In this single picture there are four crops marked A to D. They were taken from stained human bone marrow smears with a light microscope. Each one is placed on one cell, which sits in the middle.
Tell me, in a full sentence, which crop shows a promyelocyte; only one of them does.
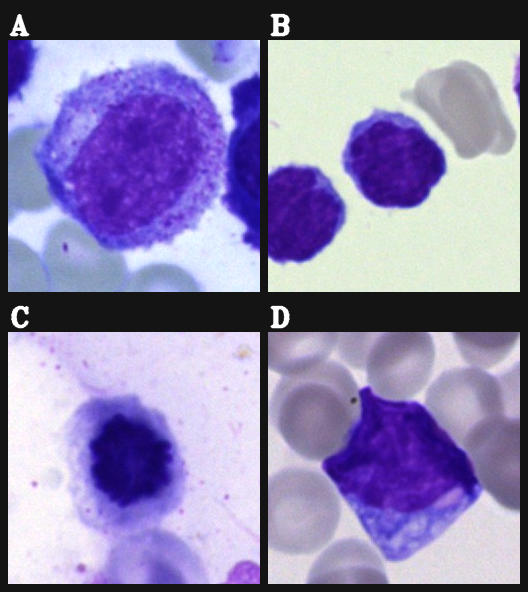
In the set of crops, crop A is the one that contains a promyelocyte.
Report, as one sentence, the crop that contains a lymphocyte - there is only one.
Look at crop B; that is the one with a lymphocyte in its center.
